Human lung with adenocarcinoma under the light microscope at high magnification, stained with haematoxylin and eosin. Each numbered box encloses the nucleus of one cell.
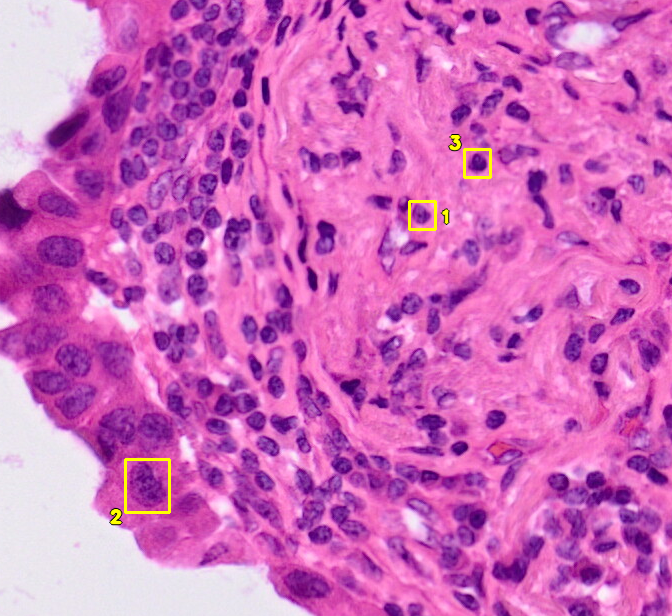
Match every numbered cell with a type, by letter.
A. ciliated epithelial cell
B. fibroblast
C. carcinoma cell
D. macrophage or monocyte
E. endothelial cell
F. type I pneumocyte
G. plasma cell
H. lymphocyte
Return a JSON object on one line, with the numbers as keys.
{"1": "H", "2": "C", "3": "H"}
